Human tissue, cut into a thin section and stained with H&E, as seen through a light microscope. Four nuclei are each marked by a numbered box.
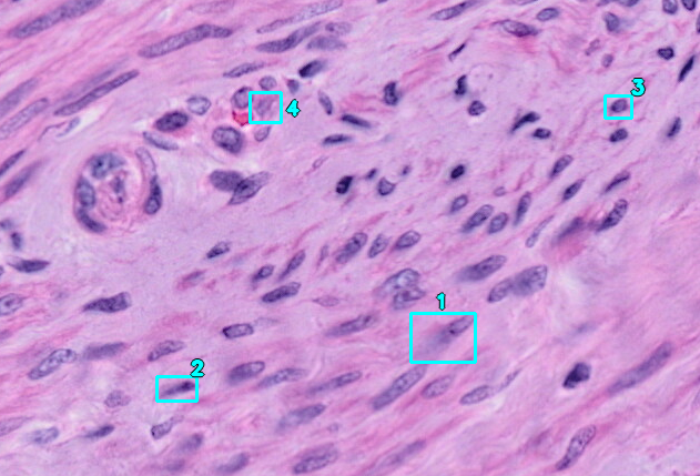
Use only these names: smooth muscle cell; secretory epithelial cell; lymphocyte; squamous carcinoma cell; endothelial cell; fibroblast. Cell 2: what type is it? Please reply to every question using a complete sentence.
As for number 2, that cell is a smooth muscle cell.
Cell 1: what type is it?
The marked cell with the number 1 is recognised as a smooth muscle cell.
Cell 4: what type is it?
The correct label for cell 4 is an endothelial cell.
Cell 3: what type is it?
To a smooth muscle cell belongs the nucleus marked 3.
